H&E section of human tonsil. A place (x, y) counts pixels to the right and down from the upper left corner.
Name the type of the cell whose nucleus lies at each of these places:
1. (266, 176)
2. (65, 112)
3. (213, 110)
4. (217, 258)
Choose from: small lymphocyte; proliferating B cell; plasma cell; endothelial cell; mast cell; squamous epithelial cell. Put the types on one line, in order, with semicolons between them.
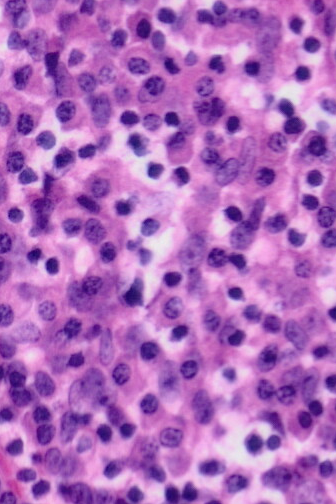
plasma cell; plasma cell; squamous epithelial cell; plasma cell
